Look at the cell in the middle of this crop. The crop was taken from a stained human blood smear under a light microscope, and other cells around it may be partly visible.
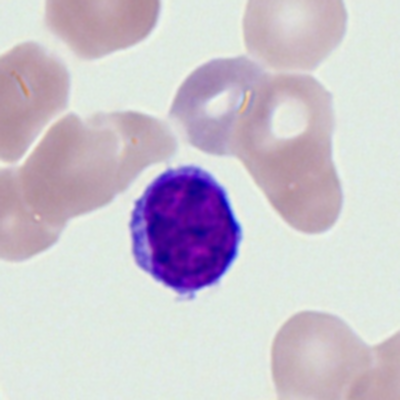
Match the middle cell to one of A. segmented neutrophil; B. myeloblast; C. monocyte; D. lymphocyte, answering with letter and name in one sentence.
Option D holds, for the cell in the middle is a lymphocyte.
